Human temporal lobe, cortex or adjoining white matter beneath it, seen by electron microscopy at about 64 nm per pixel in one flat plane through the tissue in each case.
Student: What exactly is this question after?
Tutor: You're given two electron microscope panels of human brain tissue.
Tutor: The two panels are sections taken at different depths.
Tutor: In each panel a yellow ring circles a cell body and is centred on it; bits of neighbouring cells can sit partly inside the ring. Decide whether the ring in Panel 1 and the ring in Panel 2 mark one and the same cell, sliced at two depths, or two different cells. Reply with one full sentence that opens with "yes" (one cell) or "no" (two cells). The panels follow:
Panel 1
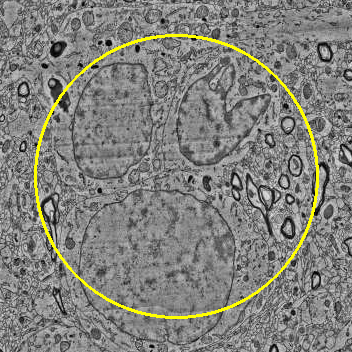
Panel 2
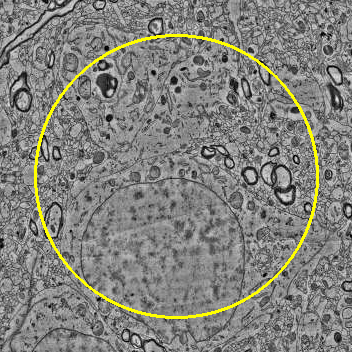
Yes, one cell is ringed in yellow twice over.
